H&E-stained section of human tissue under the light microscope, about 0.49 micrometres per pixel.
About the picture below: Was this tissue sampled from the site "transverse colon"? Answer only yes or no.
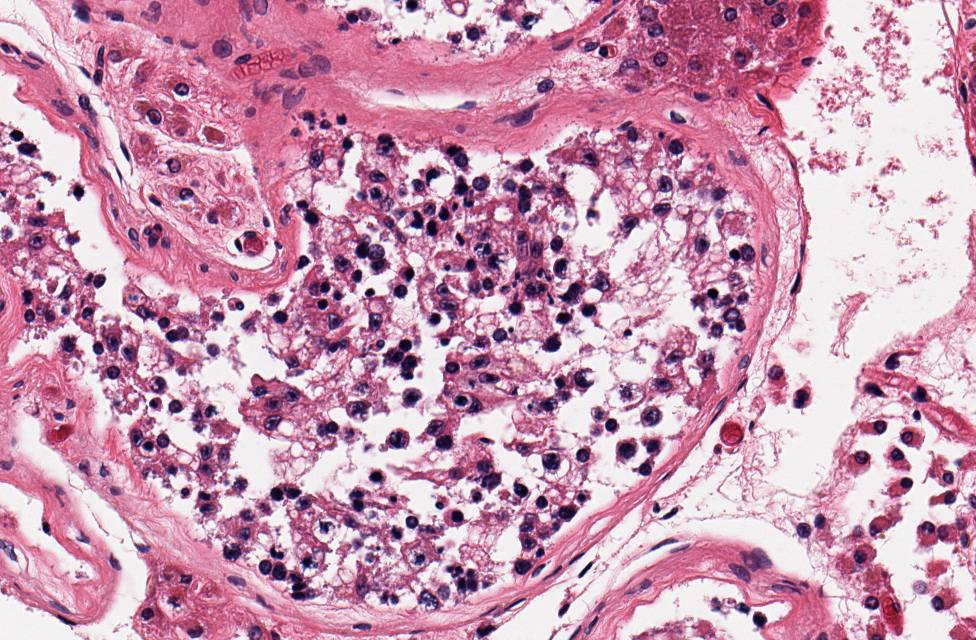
no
